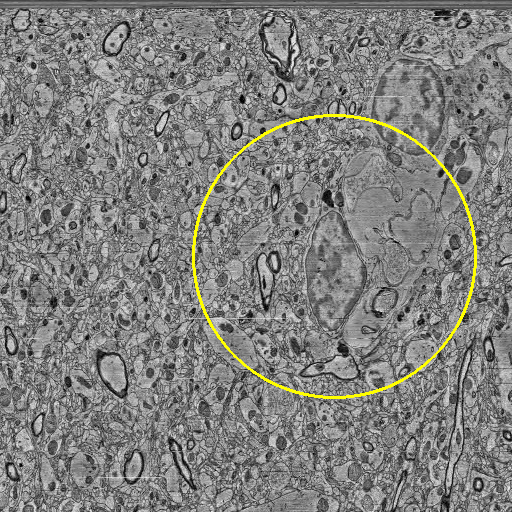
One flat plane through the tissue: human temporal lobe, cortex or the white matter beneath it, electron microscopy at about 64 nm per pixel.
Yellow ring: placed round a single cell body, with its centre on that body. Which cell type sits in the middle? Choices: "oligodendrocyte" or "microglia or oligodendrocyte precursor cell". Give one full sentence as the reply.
It is a microglial cell or oligodendrocyte precursor cell whose cell body sits at the centre of the yellow ring.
